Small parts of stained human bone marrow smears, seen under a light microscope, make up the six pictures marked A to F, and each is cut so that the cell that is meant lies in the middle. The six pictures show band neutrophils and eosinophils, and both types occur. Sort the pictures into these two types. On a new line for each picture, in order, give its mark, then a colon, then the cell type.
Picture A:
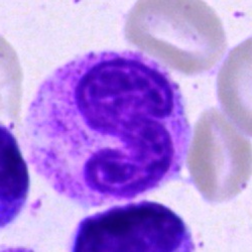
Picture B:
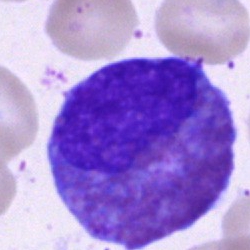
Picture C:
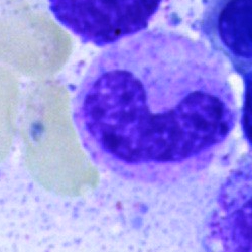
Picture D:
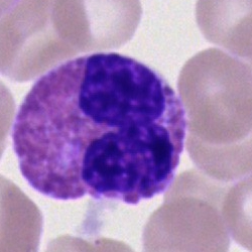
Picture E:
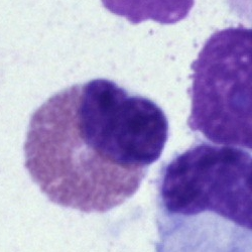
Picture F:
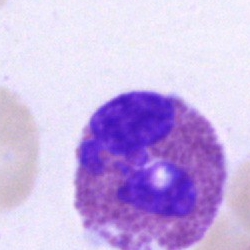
A: band neutrophil
B: eosinophil
C: band neutrophil
D: eosinophil
E: eosinophil
F: eosinophil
